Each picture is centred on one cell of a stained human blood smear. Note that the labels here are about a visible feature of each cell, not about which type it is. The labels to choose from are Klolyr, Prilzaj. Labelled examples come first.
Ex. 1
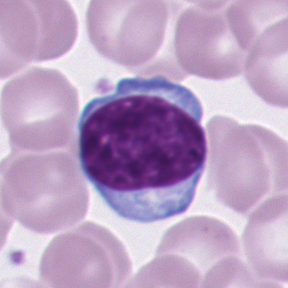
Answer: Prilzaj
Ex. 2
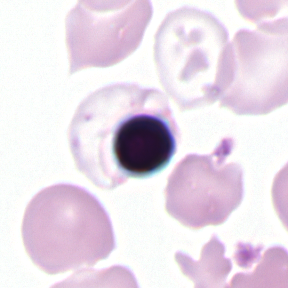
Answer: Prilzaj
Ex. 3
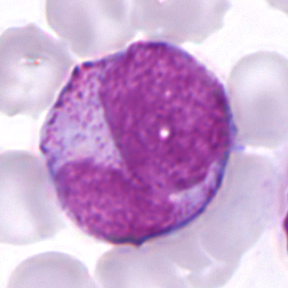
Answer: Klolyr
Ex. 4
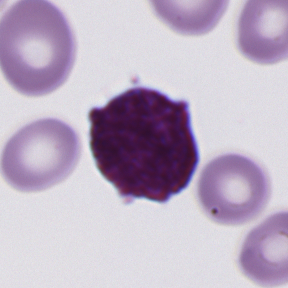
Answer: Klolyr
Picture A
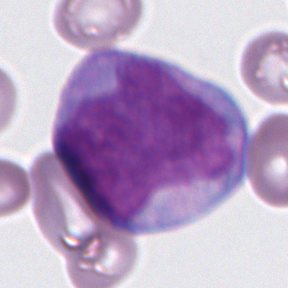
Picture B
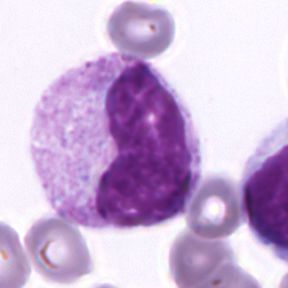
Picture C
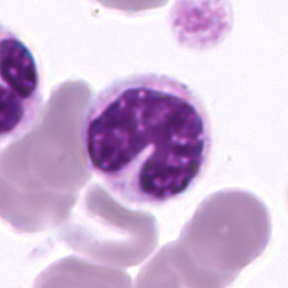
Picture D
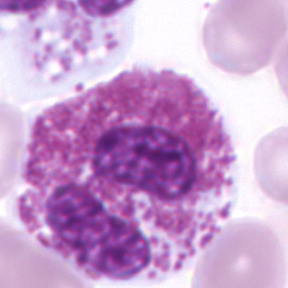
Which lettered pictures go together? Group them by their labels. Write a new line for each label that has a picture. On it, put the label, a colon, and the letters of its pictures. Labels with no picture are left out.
Klolyr: A, C
Prilzaj: B, D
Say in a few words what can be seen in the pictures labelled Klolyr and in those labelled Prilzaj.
Seen in Klolyr: scant cytoplasm; seen in Prilzaj: abundant cytoplasm.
